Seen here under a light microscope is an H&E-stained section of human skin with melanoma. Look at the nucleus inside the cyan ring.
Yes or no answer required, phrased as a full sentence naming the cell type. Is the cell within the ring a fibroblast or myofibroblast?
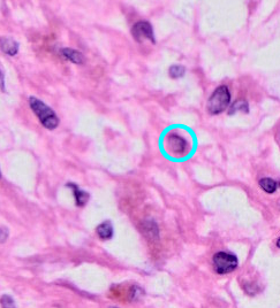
No, scored properly, the cell within the ring is a macrophage or monocyte rather than a fibroblast or myofibroblast.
